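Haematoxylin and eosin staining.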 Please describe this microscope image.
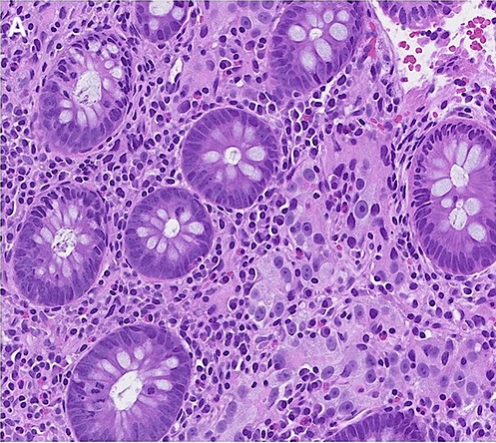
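This is colonic mucosa with round crypts cut across, each lined by columnar epithelium full of clear goblet cells around a small lumen. In the space between the crypts lie clusters of larger neoplastic cells with pale pink cytoplasm and round nuclei bearing prominent nucleoli, mixed with small dark inflammatory cells.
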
